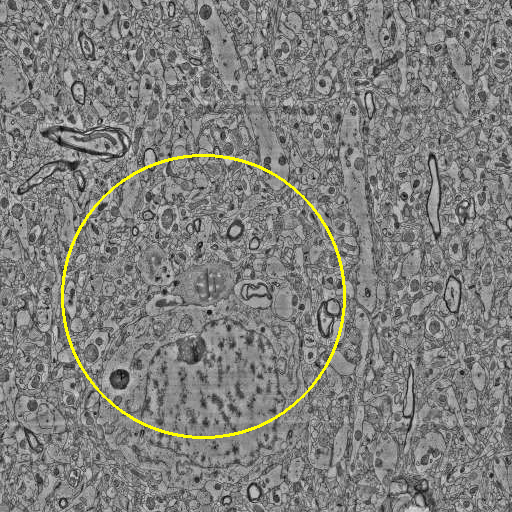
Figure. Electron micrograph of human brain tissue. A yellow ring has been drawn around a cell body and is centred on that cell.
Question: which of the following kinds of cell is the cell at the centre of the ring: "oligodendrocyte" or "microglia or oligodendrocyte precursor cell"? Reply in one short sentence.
The cell at the centre of the ring is an oligodendrocyte.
